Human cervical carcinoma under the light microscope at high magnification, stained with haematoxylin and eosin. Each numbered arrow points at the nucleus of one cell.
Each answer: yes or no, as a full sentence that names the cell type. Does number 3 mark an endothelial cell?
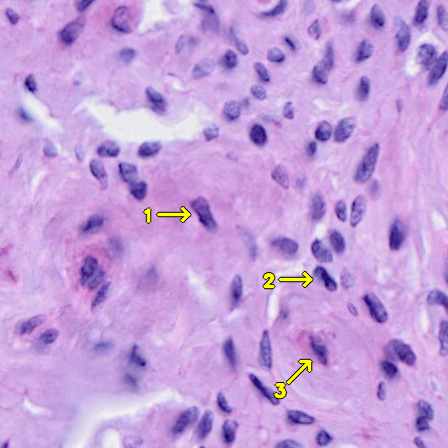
Yes, cell number 3 in this section is an endothelial cell.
